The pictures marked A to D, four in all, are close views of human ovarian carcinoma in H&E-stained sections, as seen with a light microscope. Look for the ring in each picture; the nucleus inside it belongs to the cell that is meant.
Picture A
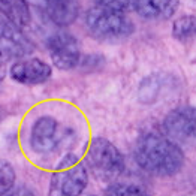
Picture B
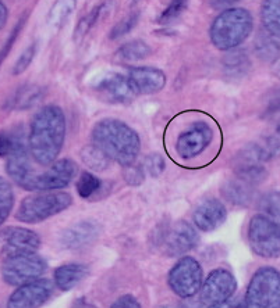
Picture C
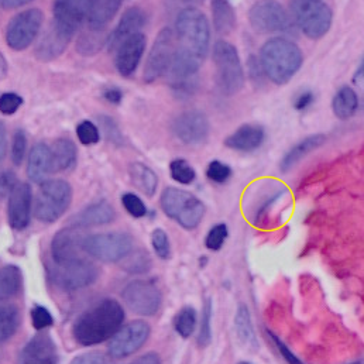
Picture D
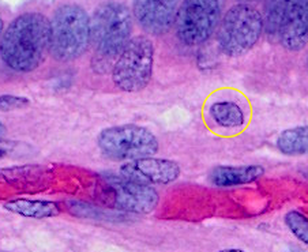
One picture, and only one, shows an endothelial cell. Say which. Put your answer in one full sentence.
The picture with the endothelial cell is C.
